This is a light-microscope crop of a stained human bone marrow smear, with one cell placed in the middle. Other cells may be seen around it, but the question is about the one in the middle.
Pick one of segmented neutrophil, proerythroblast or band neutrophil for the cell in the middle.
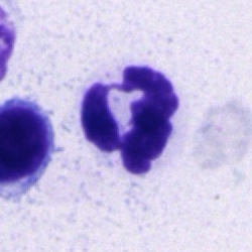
segmented neutrophil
